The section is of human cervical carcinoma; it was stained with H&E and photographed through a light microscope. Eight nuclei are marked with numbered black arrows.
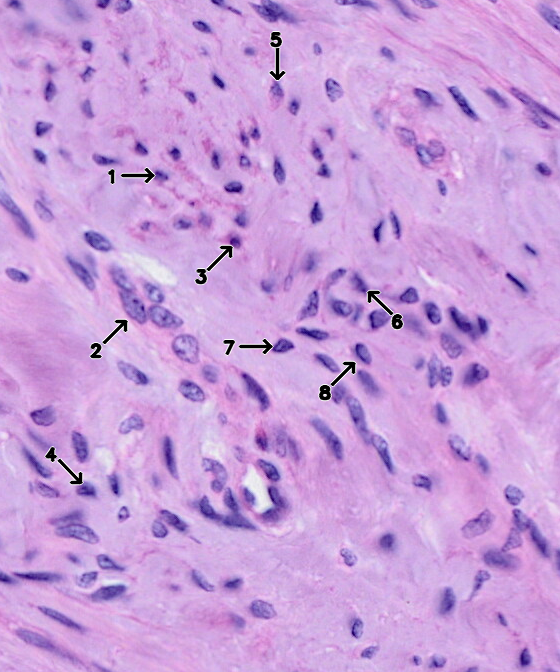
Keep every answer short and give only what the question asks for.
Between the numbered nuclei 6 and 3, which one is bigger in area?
6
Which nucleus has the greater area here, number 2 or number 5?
2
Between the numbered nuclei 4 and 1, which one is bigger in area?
4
